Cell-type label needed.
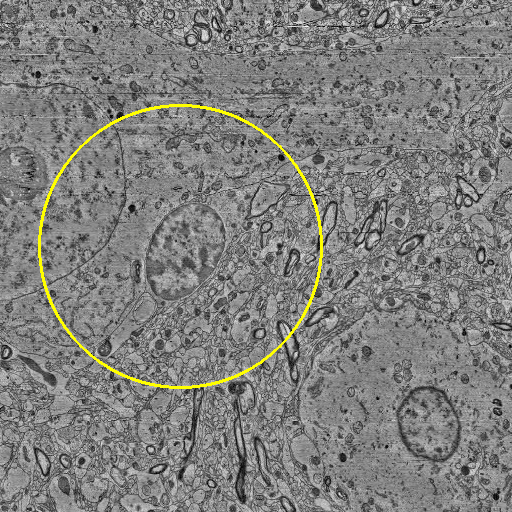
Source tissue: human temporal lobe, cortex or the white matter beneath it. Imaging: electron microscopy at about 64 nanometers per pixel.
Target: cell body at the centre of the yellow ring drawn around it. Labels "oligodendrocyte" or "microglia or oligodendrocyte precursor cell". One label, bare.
oligodendrocyte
